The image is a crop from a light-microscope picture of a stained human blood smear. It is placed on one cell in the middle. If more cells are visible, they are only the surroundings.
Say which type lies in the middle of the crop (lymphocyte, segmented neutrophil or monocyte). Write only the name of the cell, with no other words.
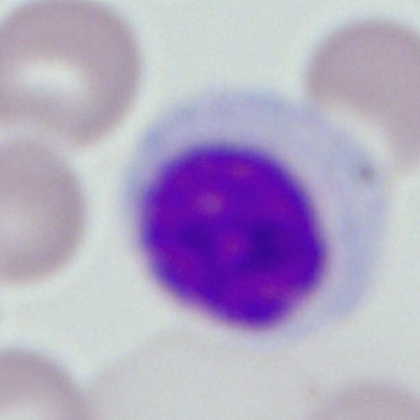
lymphocyte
